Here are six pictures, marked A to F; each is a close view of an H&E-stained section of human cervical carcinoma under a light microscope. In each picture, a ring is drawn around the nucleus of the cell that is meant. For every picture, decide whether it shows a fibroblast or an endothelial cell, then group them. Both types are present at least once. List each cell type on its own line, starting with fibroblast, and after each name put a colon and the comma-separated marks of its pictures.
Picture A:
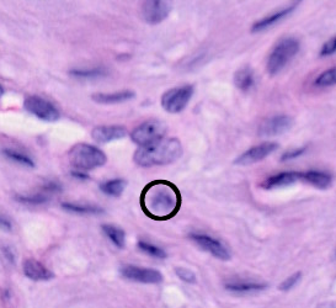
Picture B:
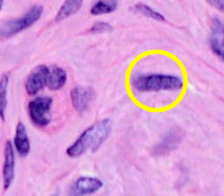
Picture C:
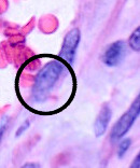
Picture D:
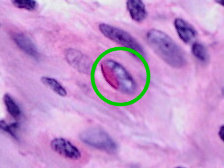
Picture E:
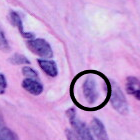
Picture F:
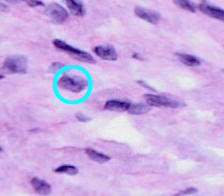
fibroblast: A, B, E, F
endothelial cell: C, D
